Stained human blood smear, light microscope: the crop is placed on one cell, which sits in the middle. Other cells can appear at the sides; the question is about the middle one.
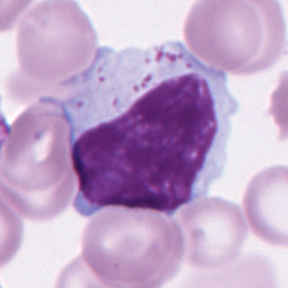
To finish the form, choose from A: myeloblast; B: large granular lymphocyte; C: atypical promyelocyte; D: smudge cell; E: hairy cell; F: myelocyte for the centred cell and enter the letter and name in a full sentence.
This one is option B, since the cell at the center is a large granular lymphocyte.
